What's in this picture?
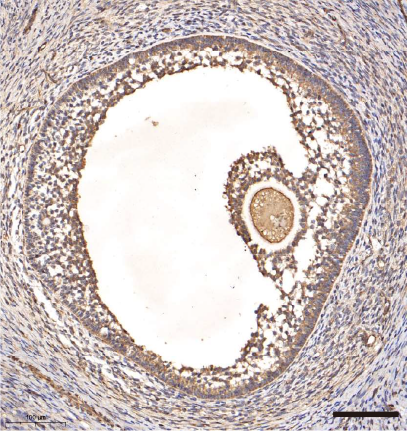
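This is an ovarian antral follicle containing a cumulus-oocyte complex, set in ovarian stroma. A wide, empty antrum fills most of the follicle and is lined by a multilayered band of small, densely packed granulosa cells. On one side a mound of cells projects into the antrum and encloses a round oocyte with a pale surrounding zone and brownish cytoplasm. Around the follicle, flattened spindle-shaped stromal cells with blue nuclei form concentric layers. Brown staining is present across the granulosa layers and the oocyte.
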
